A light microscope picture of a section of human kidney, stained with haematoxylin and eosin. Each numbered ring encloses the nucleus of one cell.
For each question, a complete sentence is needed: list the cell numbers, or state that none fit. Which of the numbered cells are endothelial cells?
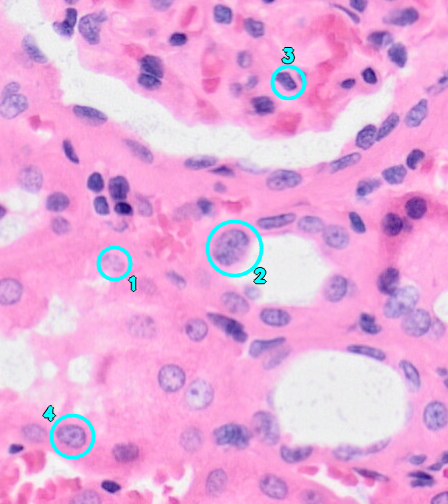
Cell 3 is an endothelial cell, and that holds for no other numbered cell.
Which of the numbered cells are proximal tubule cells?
In this section, the cells numbered 1 and 4 are proximal tubule cells.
